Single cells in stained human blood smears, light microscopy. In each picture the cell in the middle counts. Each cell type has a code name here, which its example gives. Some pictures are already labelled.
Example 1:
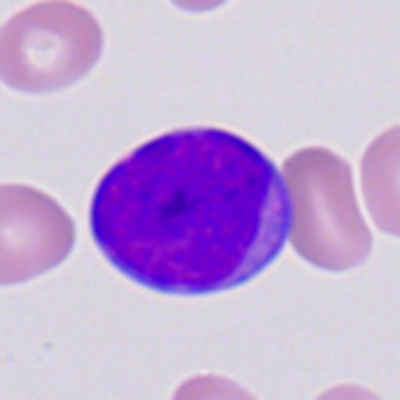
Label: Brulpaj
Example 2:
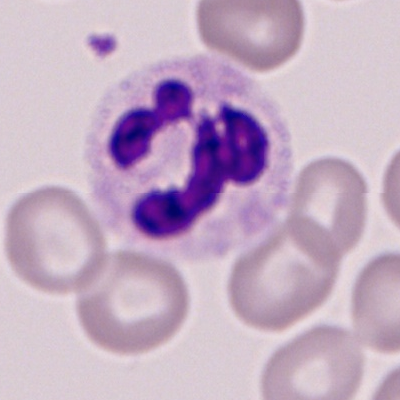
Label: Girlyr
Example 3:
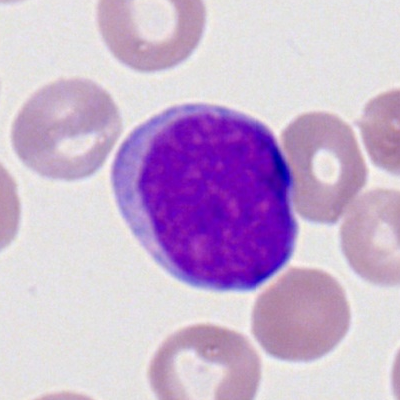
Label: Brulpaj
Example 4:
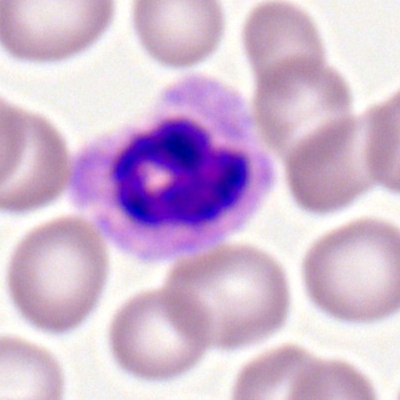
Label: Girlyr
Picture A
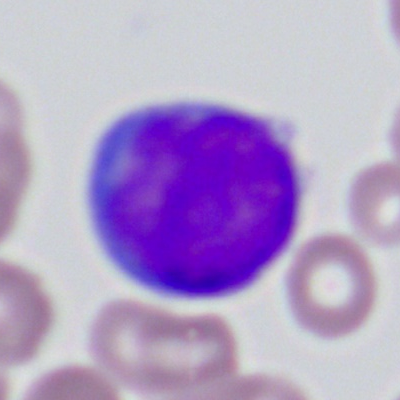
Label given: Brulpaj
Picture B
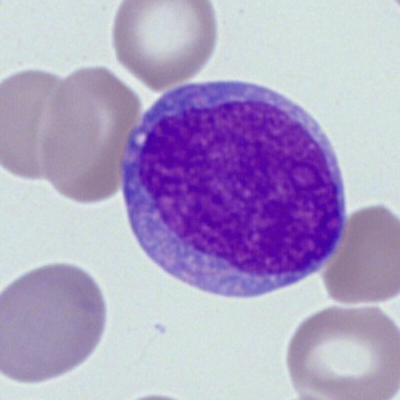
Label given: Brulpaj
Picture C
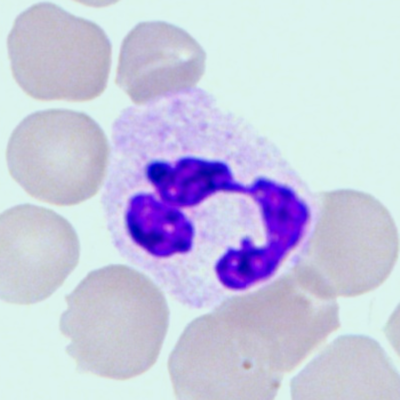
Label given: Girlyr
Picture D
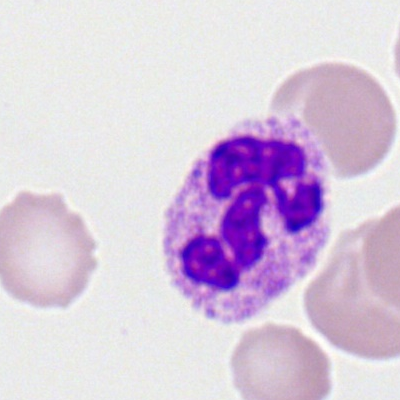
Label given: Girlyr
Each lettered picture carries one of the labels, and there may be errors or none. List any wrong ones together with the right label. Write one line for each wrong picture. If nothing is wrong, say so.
All correct.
